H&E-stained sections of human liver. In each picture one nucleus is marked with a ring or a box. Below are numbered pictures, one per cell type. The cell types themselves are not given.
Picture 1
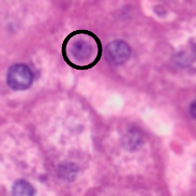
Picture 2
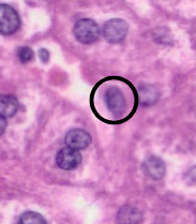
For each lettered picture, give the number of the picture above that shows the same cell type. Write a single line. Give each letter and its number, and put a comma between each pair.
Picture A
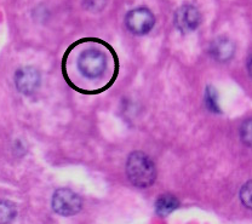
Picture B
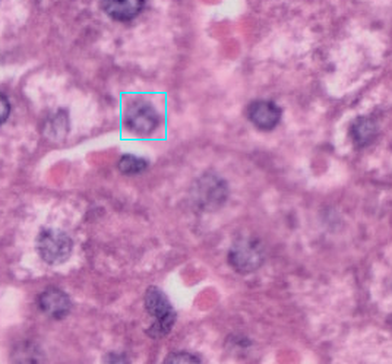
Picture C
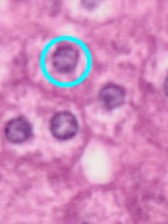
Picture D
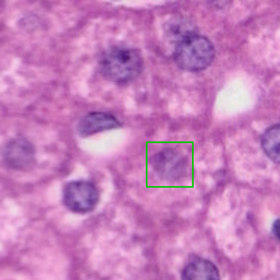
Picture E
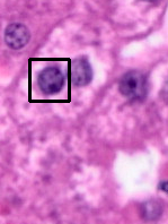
A 1, B 1, C 1, D 1, E 1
